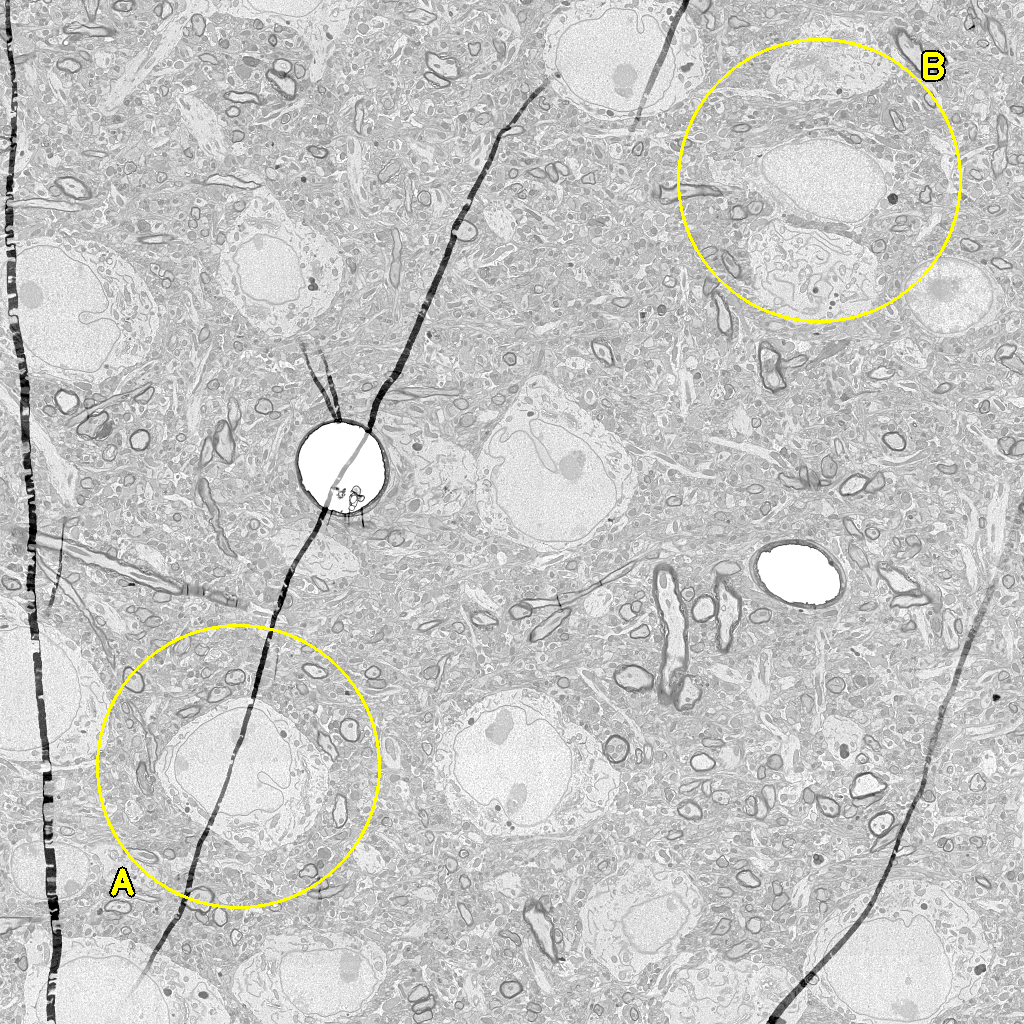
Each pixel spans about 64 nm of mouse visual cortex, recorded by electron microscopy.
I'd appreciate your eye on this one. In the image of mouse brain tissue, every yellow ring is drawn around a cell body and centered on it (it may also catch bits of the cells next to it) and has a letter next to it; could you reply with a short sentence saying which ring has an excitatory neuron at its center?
Ring A is centered on it.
